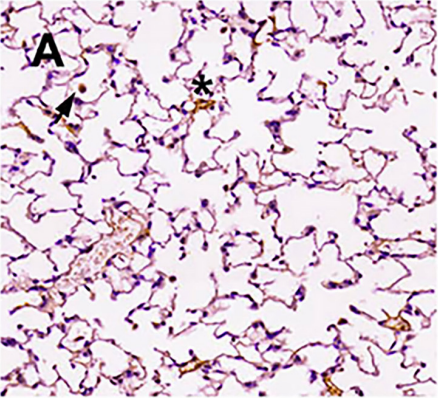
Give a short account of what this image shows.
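This is lung tissue with thin alveolar walls enclosing many open air spaces, with alveolar epithelial cells and macrophages. The septa are one or a few cells thick, with small dark blue nuclei along them. Scattered cells at corners of the septa carry brown stain in their cytoplasm. Occasional rounded cells with dark brown cytoplasm lie at the edges of the air spaces, apart from the flat wall cells.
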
